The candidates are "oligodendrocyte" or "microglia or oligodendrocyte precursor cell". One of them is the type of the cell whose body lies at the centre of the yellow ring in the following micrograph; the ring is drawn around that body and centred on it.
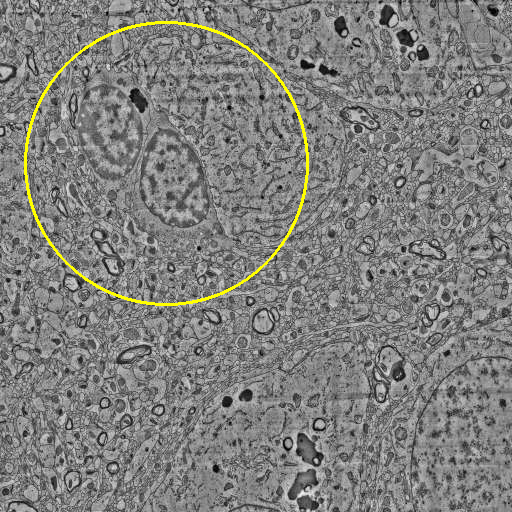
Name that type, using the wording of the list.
oligodendrocyte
